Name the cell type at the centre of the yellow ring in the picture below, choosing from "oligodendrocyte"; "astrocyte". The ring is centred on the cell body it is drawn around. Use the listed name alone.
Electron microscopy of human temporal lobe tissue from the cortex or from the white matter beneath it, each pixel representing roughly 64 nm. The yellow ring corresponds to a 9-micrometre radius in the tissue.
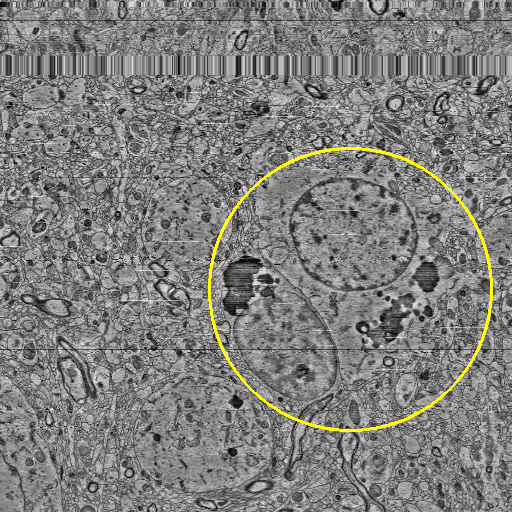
astrocyte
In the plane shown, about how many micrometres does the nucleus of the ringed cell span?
About 8 micrometres across in this plane.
